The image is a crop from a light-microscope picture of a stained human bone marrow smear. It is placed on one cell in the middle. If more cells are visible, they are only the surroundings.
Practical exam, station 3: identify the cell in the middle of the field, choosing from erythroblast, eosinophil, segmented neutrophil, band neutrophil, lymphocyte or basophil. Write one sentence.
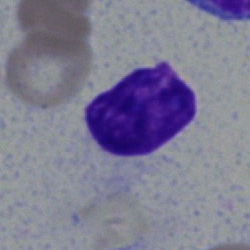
The middle of this crop holds a lymphocyte.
